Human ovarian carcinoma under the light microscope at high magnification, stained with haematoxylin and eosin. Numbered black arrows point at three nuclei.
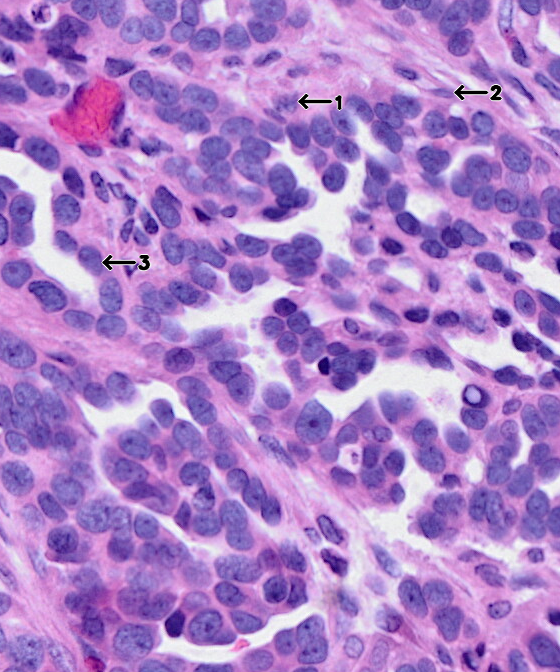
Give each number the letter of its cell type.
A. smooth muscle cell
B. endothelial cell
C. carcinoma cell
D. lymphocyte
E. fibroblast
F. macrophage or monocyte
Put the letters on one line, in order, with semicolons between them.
E; E; C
